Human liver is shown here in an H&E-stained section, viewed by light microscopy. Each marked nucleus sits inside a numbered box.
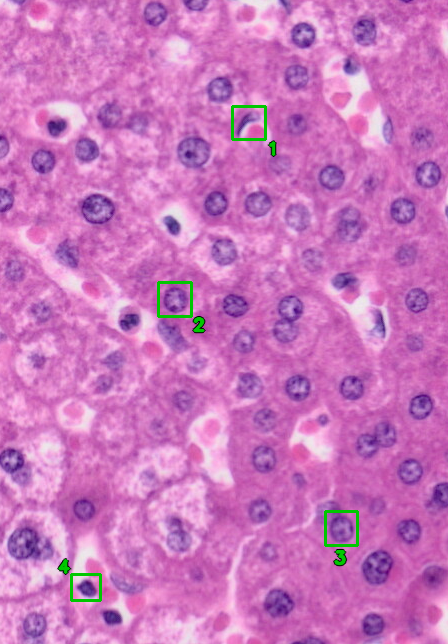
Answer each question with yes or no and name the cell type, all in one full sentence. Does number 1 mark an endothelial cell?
Yes, the cell carrying number 1 is an endothelial cell.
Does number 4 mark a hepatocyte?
No, cell 4 is correctly identified as a lymphocyte and not as a hepatocyte.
